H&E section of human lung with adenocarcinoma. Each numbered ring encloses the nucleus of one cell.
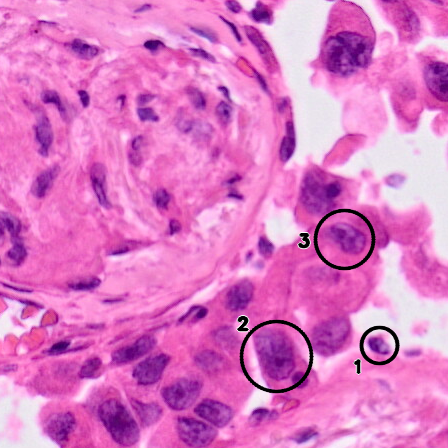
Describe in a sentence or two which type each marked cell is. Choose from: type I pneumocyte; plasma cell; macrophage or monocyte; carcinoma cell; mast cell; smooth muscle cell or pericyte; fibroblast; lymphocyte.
Cell 1 is a lymphocyte, cell 2 is a carcinoma cell and cell 3 is a carcinoma cell.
